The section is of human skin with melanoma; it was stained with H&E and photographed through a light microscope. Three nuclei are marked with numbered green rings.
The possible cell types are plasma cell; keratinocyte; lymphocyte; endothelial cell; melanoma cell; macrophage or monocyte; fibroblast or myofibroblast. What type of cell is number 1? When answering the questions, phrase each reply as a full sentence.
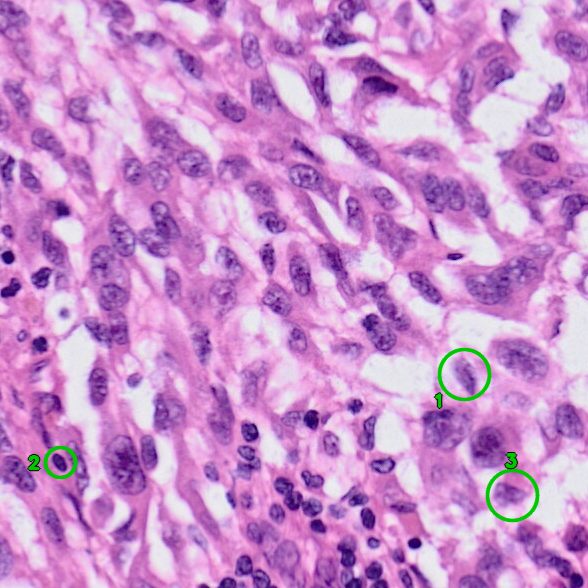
The numeral 1 marks a melanoma cell in this section.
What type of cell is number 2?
The cell tagged with 2 in this tissue section is a lymphocyte.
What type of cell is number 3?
Among the marked cells, number 3 is a melanoma cell.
